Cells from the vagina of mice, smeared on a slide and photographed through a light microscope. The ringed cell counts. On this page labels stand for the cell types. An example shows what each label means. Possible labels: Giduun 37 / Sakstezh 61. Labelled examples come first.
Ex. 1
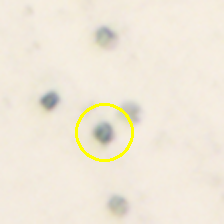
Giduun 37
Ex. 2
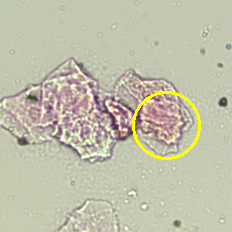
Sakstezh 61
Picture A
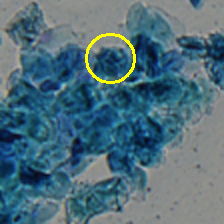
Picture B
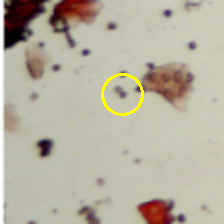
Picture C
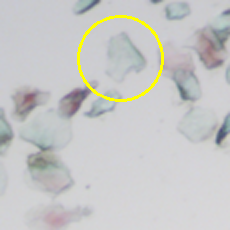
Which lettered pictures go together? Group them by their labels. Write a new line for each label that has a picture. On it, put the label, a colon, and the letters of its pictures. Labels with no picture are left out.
Giduun 37: B
Sakstezh 61: A, C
